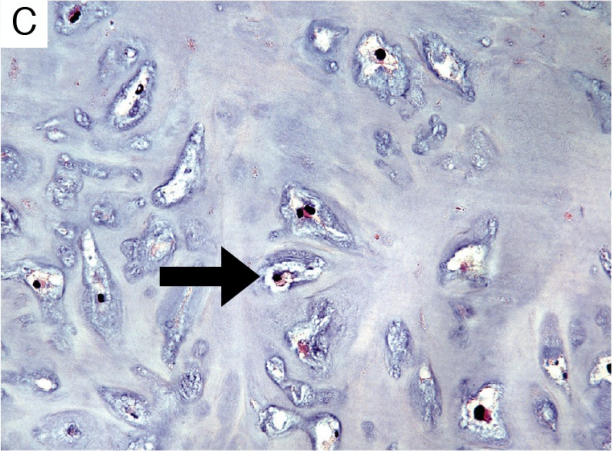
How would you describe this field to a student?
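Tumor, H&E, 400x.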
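Scattered cells lie one or two at a time in clear spaces set within a broad, homogeneous pale bluish-purple matrix. Each has a small, round, dark nucleus, and the spaces around them are irregular and partly retracted. There is no crowding and the nuclei do not vary much in size or shape. These are cytologically bland chondrocytes lying in lacunae of cartilage matrix.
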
